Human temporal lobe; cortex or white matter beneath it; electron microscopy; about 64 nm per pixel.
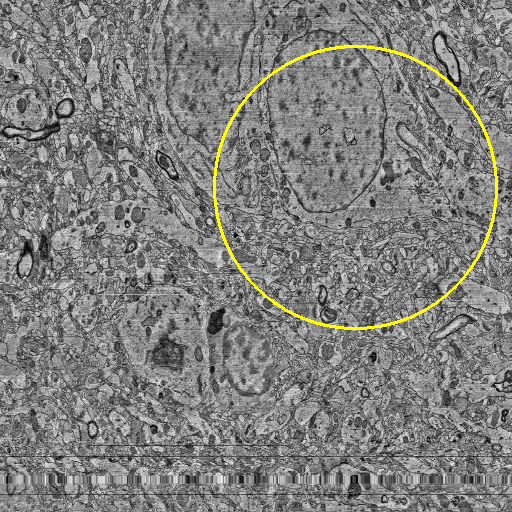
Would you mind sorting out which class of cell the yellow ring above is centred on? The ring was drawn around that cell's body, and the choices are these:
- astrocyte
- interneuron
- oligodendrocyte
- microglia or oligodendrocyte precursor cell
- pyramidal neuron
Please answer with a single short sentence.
This is the cell body of a pyramidal neuron.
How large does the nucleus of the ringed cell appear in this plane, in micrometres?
In this plane, approximately 12 by 8 micrometers, and clearly longer than it is wide.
